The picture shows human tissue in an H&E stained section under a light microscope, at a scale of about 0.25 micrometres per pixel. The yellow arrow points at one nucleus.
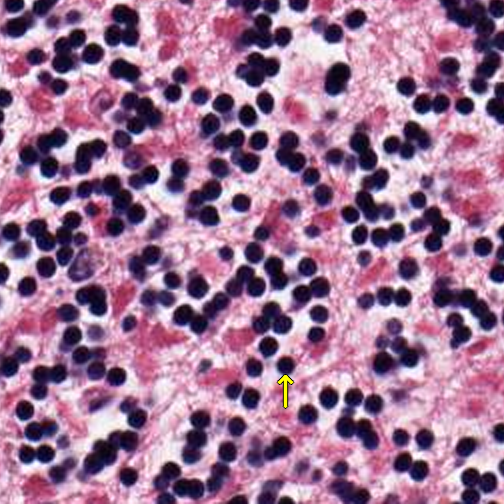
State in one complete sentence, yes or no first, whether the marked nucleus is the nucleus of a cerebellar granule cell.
Yes, the nucleus indicated by the marking belongs to a cerebellar granule cell.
